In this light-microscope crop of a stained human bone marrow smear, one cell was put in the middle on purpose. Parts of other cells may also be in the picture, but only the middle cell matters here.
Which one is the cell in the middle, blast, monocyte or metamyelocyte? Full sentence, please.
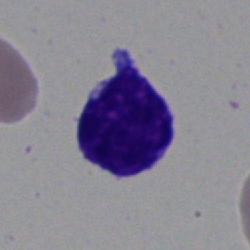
The cell positioned in the middle of the field is a blast.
